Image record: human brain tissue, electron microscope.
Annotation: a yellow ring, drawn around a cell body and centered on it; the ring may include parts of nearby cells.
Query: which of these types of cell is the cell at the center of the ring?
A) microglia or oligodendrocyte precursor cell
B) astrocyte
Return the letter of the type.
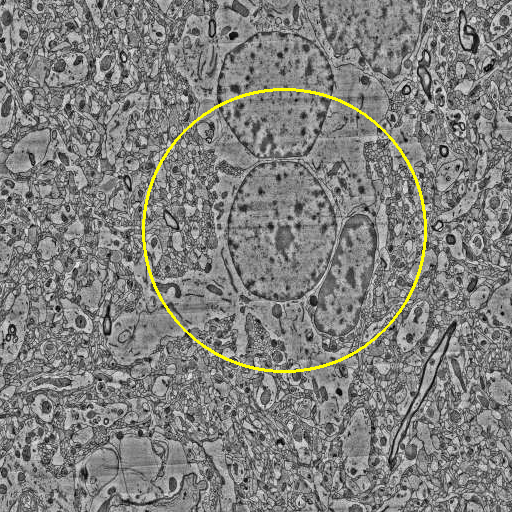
B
